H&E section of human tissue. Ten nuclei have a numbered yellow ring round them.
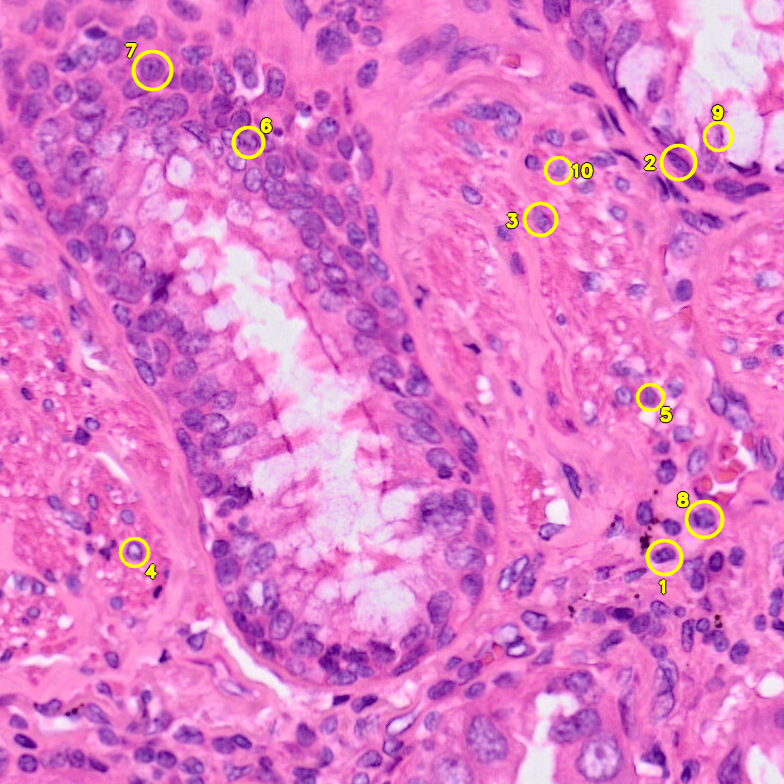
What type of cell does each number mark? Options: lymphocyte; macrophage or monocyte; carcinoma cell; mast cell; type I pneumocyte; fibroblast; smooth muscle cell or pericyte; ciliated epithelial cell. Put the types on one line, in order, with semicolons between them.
lymphocyte; ciliated epithelial cell; smooth muscle cell or pericyte; smooth muscle cell or pericyte; smooth muscle cell or pericyte; ciliated epithelial cell; ciliated epithelial cell; lymphocyte; ciliated epithelial cell; smooth muscle cell or pericyte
